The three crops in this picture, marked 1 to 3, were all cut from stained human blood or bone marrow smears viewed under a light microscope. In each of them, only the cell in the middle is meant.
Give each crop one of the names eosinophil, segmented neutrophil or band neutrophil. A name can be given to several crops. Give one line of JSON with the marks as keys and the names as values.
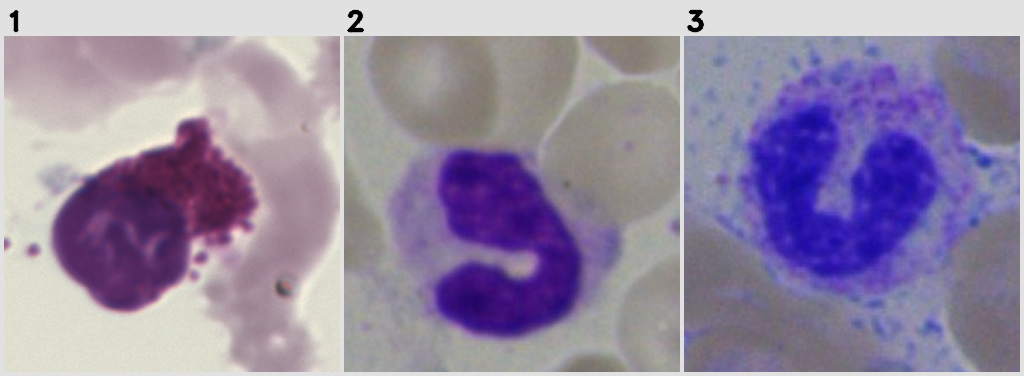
{"1": "eosinophil", "2": "band neutrophil", "3": "segmented neutrophil"}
